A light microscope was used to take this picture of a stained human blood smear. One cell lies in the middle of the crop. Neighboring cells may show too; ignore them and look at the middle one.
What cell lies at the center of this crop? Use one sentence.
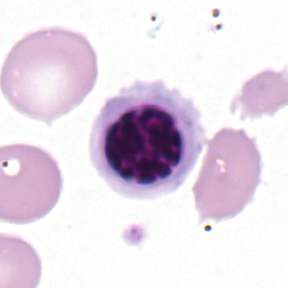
The cell in the middle of this crop is a normoblast.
